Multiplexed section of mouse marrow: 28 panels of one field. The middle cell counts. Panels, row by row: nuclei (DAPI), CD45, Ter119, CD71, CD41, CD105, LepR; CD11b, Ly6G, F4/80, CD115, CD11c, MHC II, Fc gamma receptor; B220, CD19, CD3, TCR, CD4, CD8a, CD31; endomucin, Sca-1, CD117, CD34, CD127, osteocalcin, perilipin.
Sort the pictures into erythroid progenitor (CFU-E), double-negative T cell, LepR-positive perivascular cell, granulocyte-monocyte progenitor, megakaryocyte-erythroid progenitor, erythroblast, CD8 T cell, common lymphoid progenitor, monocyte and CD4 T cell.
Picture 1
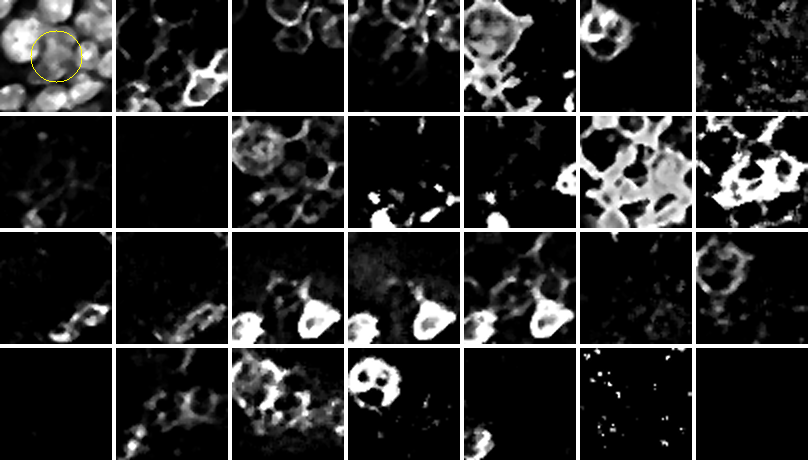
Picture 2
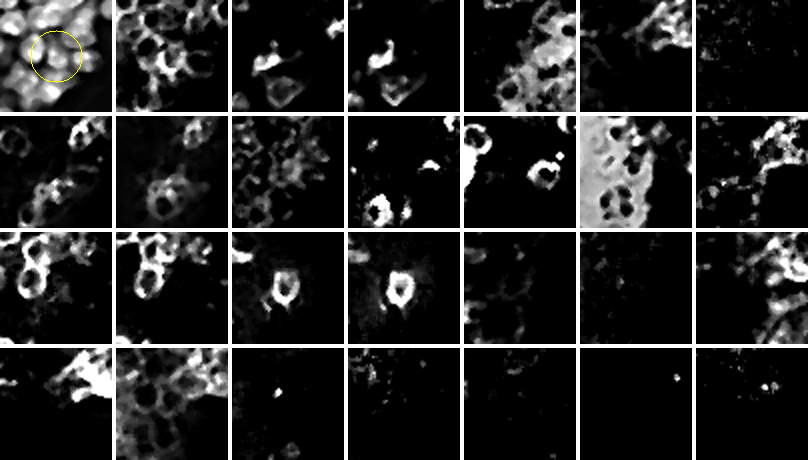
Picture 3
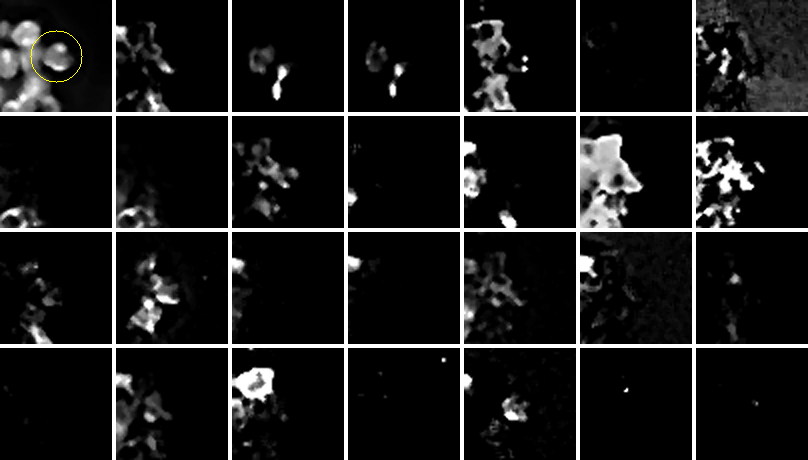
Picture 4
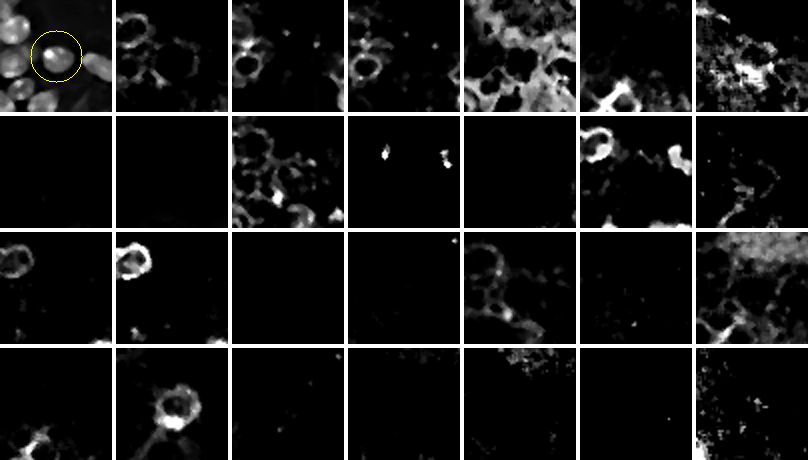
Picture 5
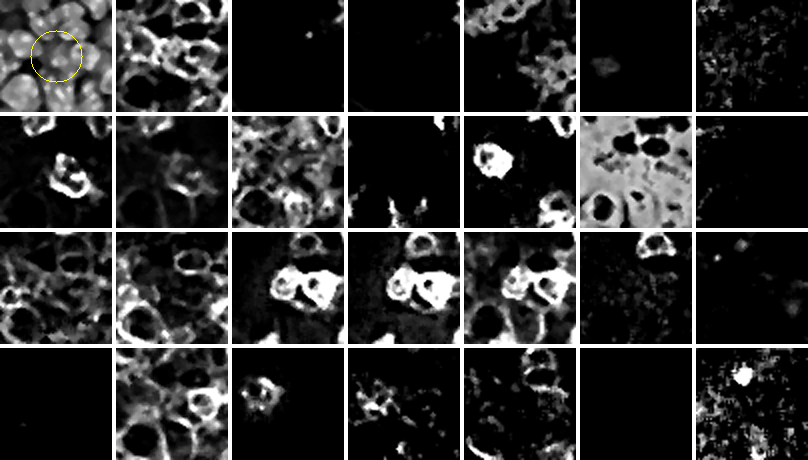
Granulocyte-monocyte progenitors: 1
Double-negative T cells: 2
Common lymphoid progenitors: 3
LepR-positive perivascular cells: 4
CD4 T cells: 5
